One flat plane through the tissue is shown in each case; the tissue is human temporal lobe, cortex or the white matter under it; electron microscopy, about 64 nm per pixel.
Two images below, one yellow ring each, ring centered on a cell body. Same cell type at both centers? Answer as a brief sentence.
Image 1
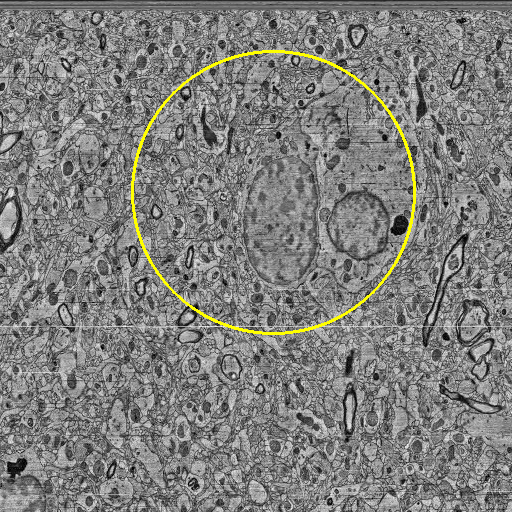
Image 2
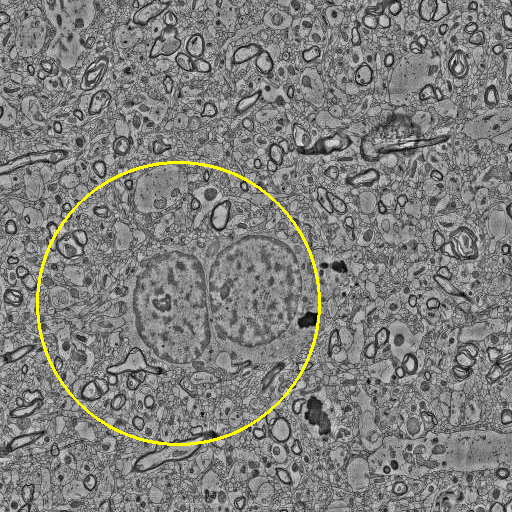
Yes, both cells are of the same type.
